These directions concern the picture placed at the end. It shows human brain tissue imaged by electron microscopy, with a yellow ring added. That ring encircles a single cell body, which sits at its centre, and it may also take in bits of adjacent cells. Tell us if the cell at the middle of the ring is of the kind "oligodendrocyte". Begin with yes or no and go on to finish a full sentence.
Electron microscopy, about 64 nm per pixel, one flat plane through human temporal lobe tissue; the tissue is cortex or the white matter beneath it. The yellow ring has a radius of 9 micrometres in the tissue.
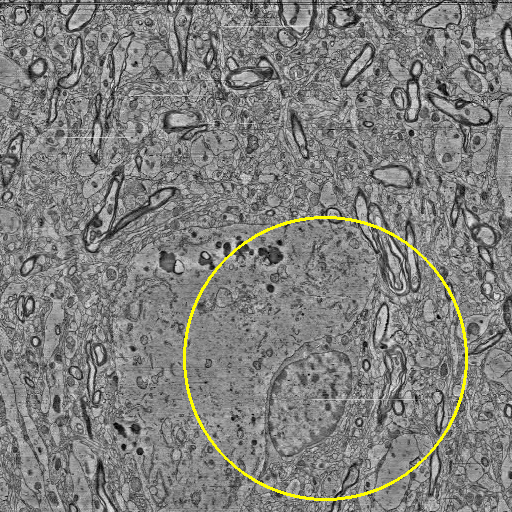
Yes, the cell sitting at the centre of the yellow ring in the picture is of that kind.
